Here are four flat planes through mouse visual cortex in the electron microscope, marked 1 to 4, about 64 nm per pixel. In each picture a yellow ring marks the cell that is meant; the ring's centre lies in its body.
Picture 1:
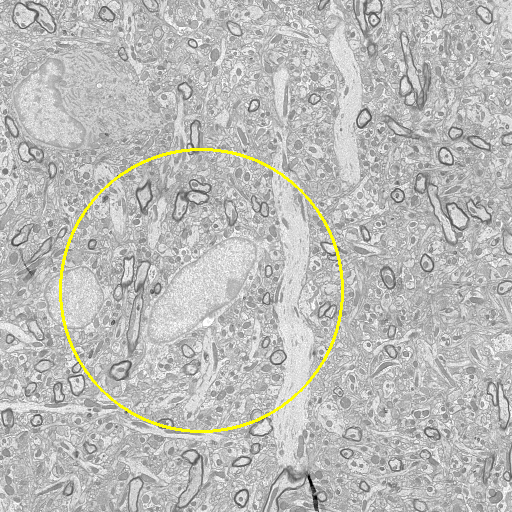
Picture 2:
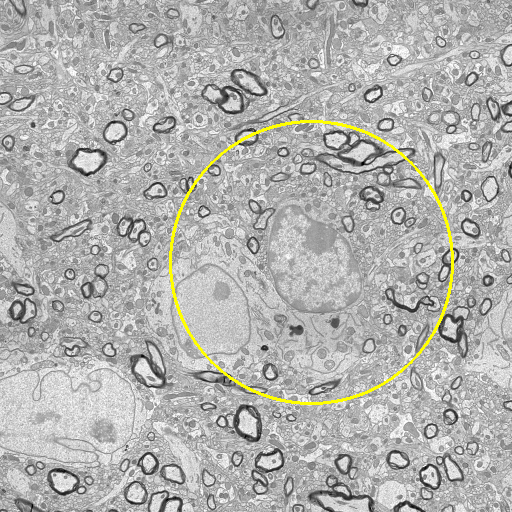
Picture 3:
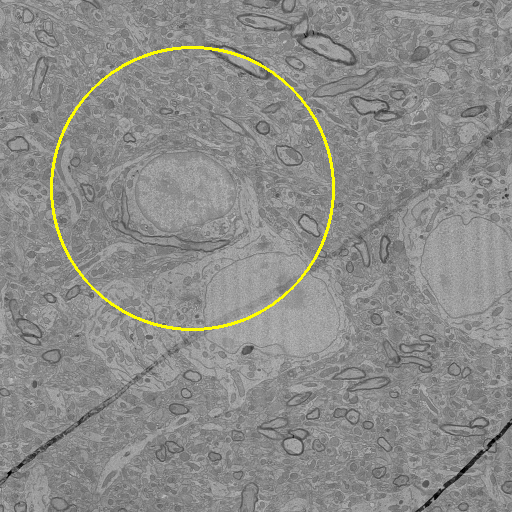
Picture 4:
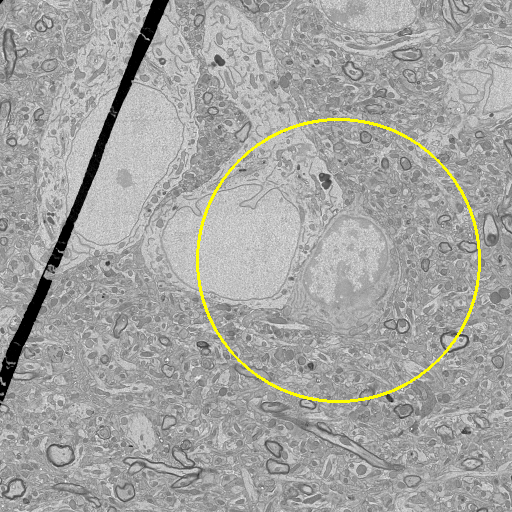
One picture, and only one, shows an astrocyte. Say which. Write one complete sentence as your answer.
The picture with the astrocyte is 1.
